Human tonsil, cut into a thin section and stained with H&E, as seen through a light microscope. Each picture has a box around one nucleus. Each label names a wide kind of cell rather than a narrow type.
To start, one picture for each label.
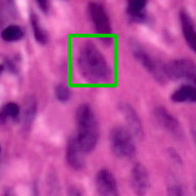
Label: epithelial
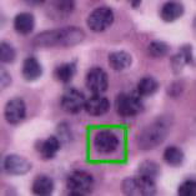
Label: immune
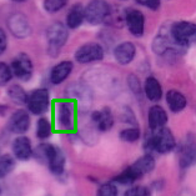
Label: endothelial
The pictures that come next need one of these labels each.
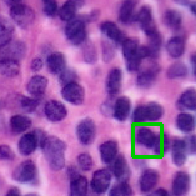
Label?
immune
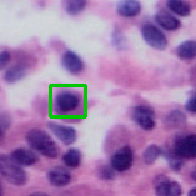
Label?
immune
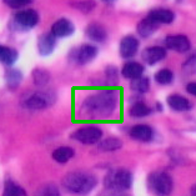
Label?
endothelial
